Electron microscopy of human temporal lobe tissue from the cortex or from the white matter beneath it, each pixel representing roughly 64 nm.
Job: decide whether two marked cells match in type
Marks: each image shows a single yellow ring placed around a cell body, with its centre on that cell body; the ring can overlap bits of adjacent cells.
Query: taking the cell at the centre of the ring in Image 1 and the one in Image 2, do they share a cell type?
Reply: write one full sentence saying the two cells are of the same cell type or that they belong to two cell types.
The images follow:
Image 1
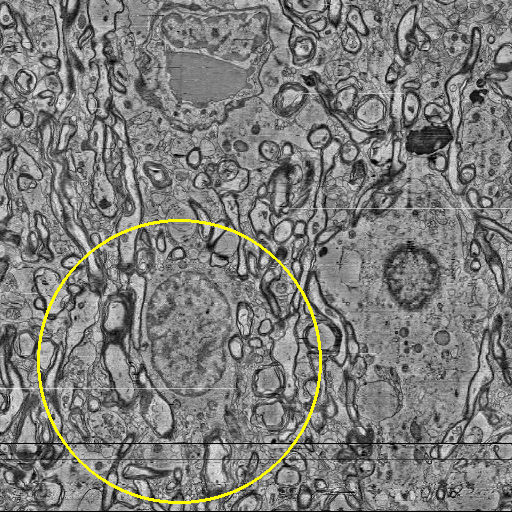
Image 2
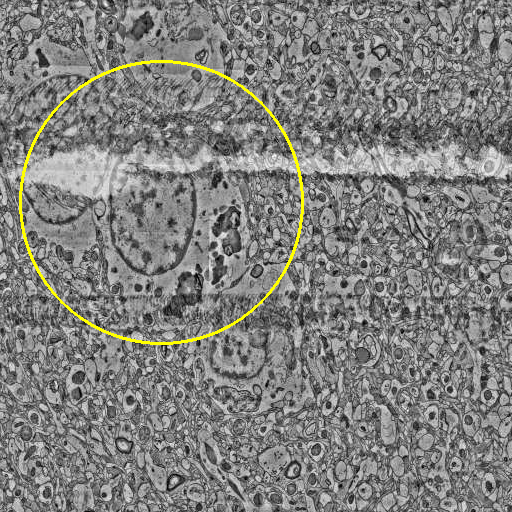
The cells at the ring centres in Image 1 and Image 2 belong to two cell types.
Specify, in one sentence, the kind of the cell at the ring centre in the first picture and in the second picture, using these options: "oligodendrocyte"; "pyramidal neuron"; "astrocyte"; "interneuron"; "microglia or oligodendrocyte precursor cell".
So the first is an oligodendrocyte, the second an astrocyte.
